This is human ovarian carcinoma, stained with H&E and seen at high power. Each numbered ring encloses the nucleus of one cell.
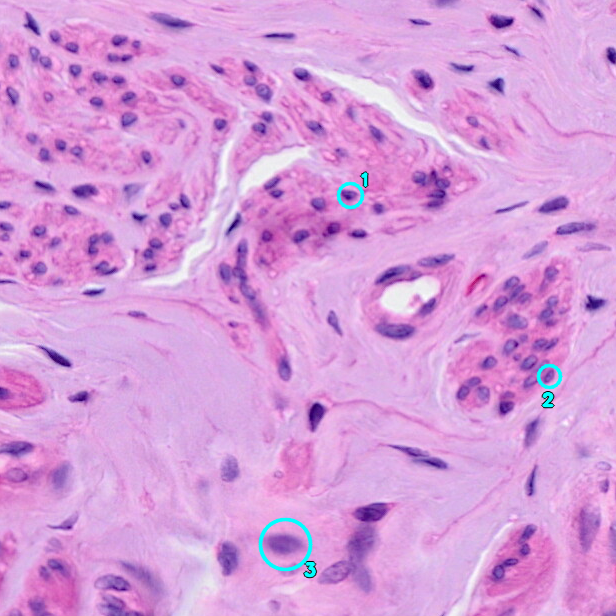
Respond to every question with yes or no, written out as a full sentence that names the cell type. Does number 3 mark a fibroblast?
Yes, cell number 3 is classified as a fibroblast.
